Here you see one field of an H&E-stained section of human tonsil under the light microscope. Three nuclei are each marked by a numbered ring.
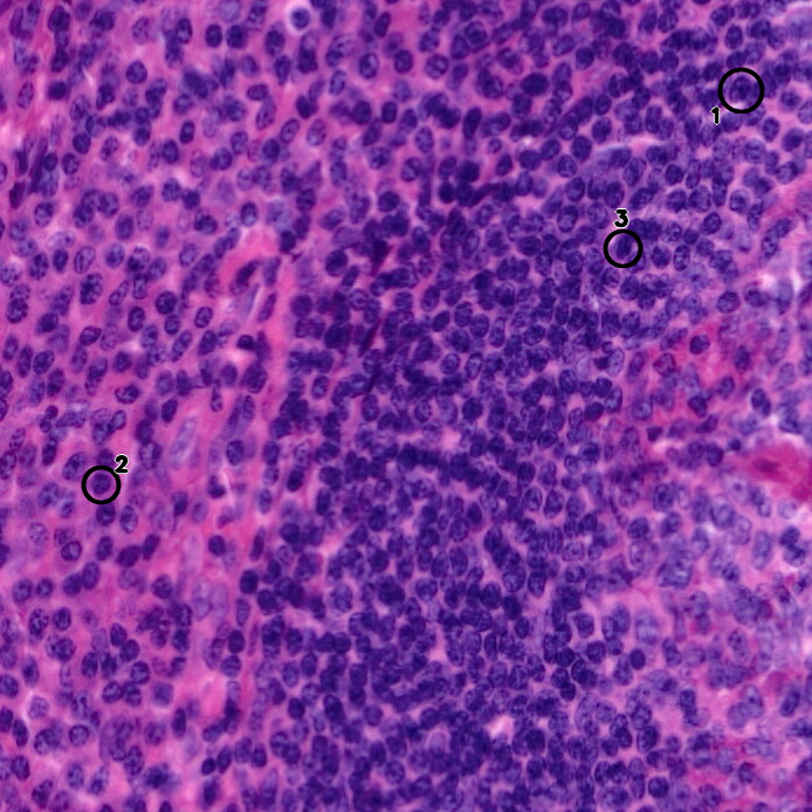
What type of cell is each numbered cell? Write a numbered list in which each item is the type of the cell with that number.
1. small lymphocyte
2. plasma cell
3. small lymphocyte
